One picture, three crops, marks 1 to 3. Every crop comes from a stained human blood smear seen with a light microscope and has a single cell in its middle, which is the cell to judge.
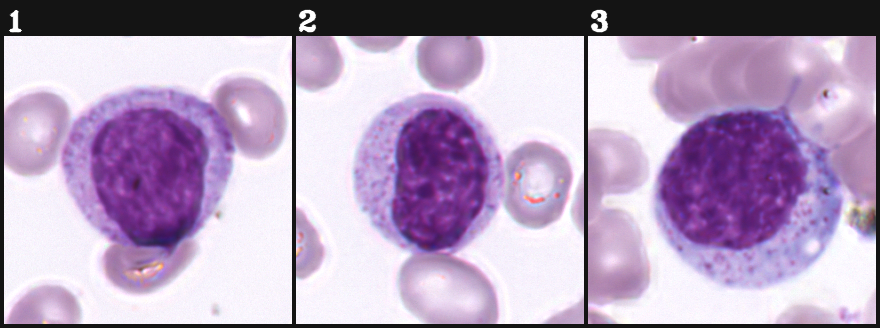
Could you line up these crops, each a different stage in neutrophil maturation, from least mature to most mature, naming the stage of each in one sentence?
Ordered from least to most mature, the cells run crop 3 (a promyelocyte), crop 1 (a myelocyte) and crop 2 (a metamyelocyte).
